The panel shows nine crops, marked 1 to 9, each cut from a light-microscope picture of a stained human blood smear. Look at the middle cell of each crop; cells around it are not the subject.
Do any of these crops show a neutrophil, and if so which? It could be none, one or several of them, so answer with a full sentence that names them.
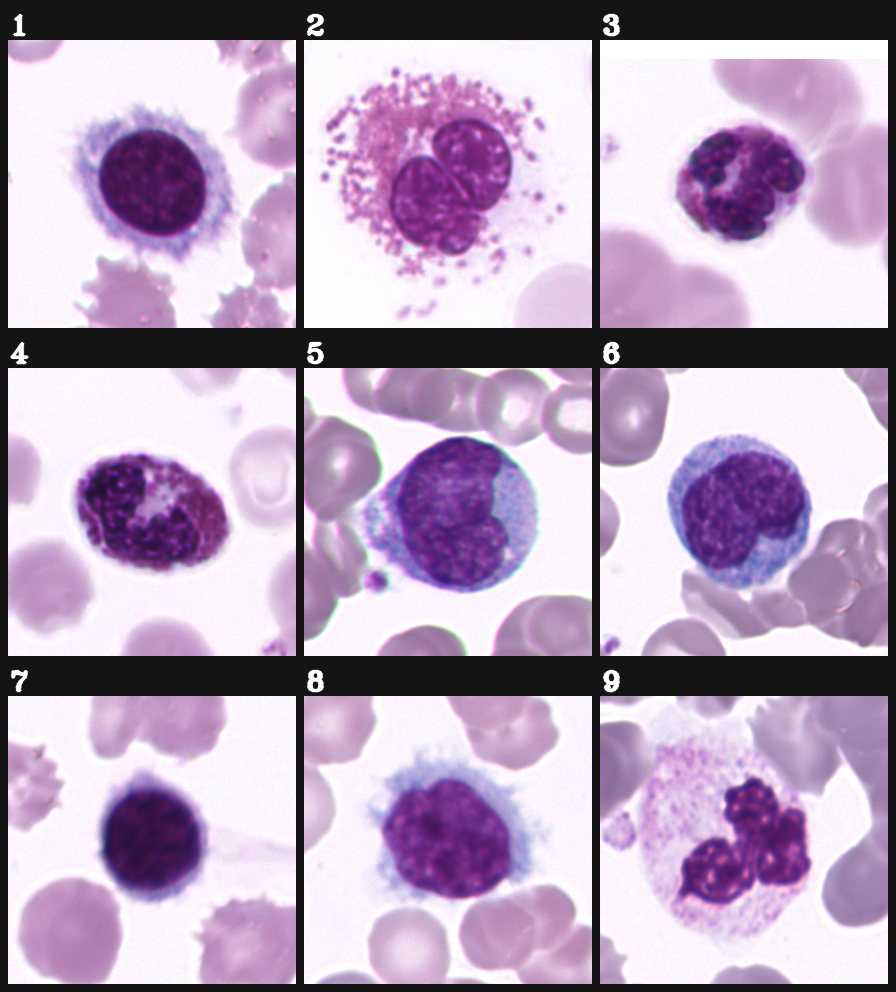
Out of the whole set, crop 9 is the only crop depicting a neutrophil.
